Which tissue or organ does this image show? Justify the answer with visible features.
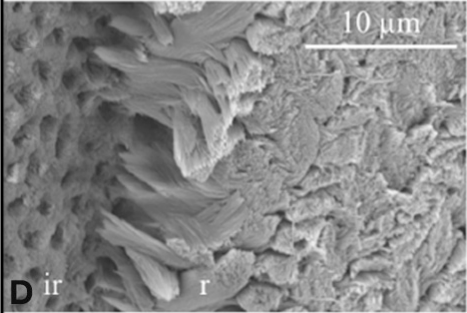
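A fractured mineral surface made of bundles of long, thin, parallel crystallites. Rod-like bundles project from the broken surface. A neighbouring region is pitted with many small round holes. On this evidence: enamel.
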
